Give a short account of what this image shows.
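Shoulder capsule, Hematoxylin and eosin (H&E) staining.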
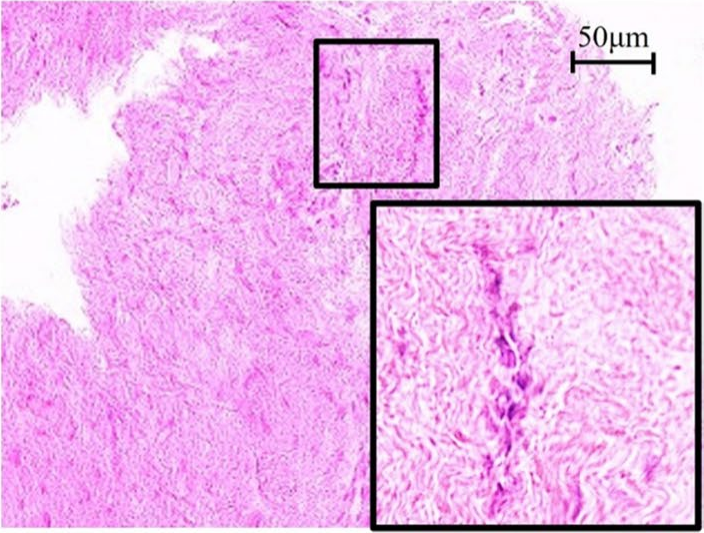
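A large pale empty space lies toward the left side. The enlarged inset shows the tangled fibres, crossed by a vertical streak of more intensely purple-stained material.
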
